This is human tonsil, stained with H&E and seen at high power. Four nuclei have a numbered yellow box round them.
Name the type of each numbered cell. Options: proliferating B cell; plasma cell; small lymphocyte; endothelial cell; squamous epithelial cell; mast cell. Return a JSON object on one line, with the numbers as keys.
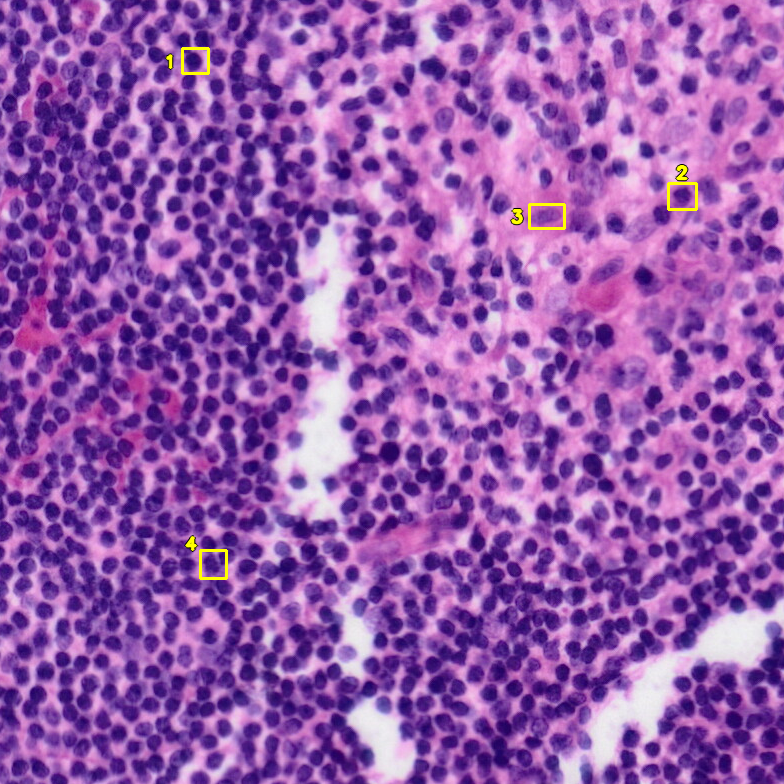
{"1": "small lymphocyte", "2": "plasma cell", "3": "endothelial cell", "4": "small lymphocyte"}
